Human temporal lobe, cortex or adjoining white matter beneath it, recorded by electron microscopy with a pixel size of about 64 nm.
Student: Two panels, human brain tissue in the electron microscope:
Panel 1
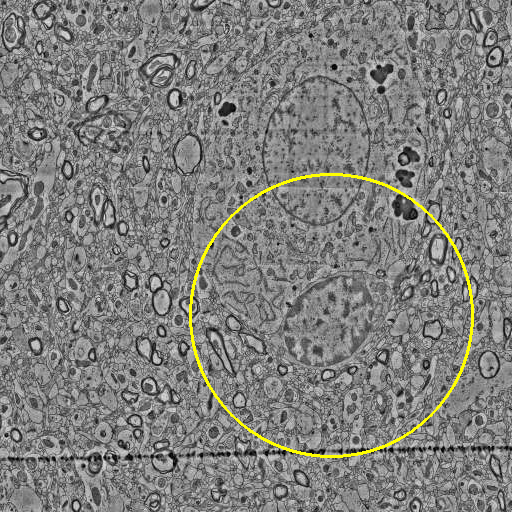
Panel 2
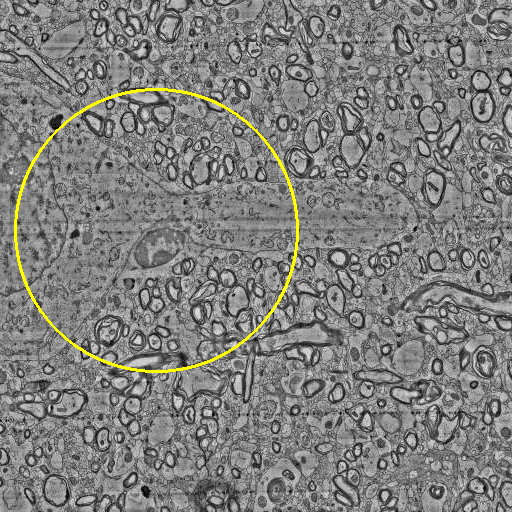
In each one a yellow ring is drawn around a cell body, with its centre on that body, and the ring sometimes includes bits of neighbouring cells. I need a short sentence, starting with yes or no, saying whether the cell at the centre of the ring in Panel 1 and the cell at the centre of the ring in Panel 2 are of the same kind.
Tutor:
No, they are two kinds of cell.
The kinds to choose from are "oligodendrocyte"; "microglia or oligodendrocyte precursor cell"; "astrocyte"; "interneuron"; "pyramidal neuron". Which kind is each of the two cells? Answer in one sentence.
Of the two, the first cell is an oligodendrocyte and the second cell is a microglial cell or oligodendrocyte precursor cell.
